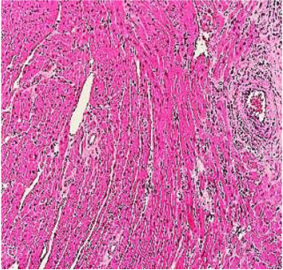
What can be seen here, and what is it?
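This section of heart muscle shows long, parallel myocytes with deeply pink cytoplasm, running in bundles across the field. Elongated, dark blue nuclei lie within the fibers and in the narrow spaces between them. At the right a small vessel is cut in cross-section, with a few cells gathered around it.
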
